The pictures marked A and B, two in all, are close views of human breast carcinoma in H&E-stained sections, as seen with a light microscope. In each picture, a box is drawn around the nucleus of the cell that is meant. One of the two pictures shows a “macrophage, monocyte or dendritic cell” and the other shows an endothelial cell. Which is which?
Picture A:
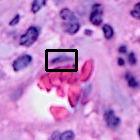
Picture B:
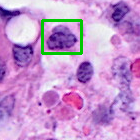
A: endothelial cell
B: macrophage, monocyte or dendritic cell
